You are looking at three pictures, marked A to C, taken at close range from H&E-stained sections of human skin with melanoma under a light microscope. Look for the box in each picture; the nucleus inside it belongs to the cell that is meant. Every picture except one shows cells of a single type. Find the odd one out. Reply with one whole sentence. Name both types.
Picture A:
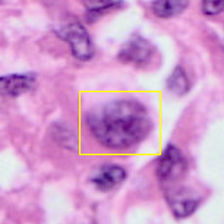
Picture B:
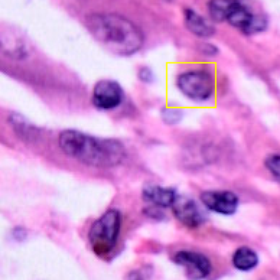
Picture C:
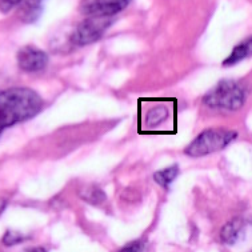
The different one is picture A; it shows a melanoma cell, whereas all the others show “macrophages or monocytes”.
